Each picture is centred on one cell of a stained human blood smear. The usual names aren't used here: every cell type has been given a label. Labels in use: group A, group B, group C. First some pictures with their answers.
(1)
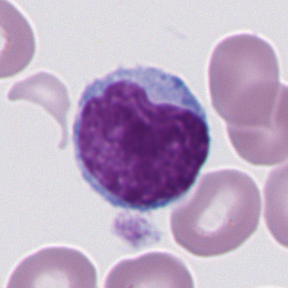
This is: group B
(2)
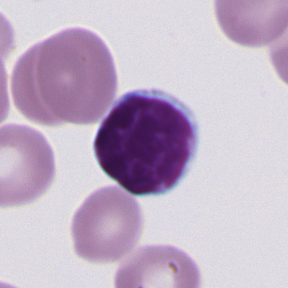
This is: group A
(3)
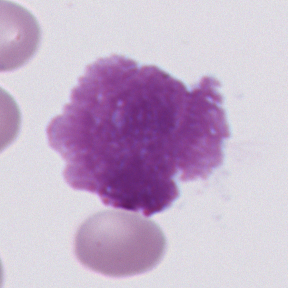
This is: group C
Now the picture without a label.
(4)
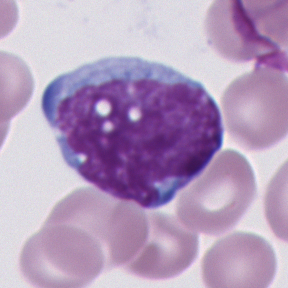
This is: group B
